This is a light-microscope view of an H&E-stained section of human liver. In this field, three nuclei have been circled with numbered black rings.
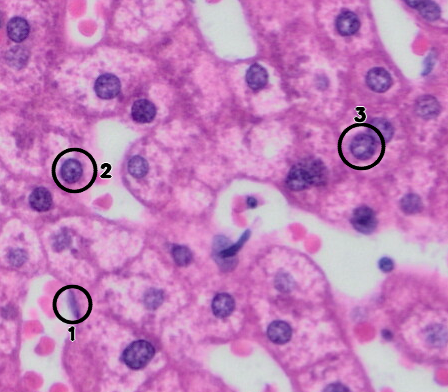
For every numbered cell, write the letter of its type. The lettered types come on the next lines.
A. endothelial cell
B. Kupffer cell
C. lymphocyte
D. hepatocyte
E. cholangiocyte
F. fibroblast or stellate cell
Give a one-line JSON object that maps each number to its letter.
{"1": "A", "2": "D", "3": "D"}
